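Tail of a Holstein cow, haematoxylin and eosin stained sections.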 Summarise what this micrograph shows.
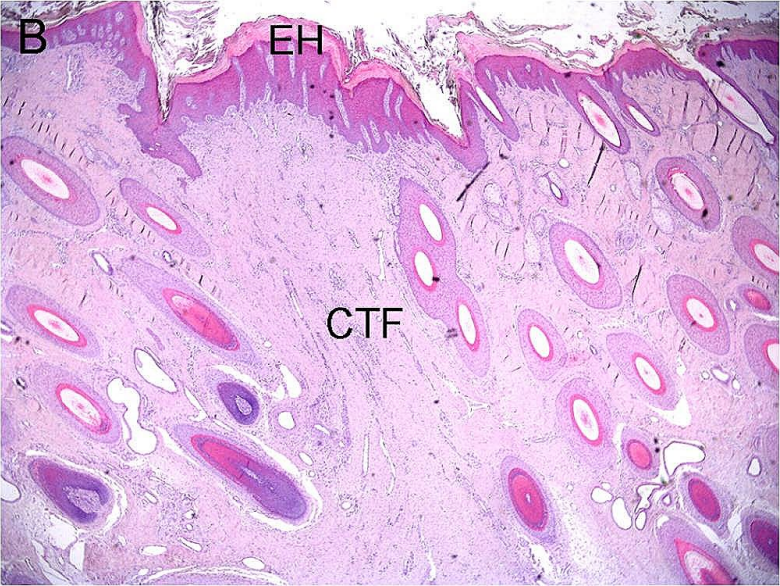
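The epidermis is irregular, forming downward ridges, and is covered by a thick pink keratin layer, partly lifting off in flakes. Hair follicles are cut in round and oval profiles across the dermis, each an epithelial ring around a bright pink keratinised core; some deeper ones show purple bulbs. Small clusters of glandular structures lie between follicles near the upper dermis.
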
